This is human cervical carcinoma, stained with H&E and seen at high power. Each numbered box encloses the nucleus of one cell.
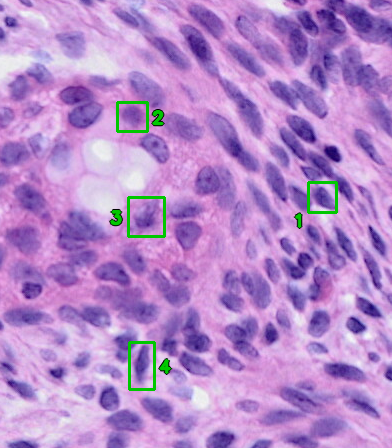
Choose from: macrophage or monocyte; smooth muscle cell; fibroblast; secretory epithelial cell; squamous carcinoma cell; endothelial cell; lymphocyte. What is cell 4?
fibroblast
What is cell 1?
fibroblast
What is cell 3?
secretory epithelial cell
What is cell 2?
secretory epithelial cell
